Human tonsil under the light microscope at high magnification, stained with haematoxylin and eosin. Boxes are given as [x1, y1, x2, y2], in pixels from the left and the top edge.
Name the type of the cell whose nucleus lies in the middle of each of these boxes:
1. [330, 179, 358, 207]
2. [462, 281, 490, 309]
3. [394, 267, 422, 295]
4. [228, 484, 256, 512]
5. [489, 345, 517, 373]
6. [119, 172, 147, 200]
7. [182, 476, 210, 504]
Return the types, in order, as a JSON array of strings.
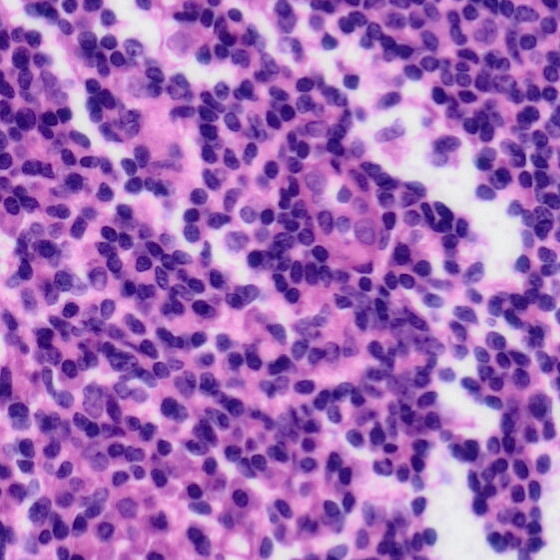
["endothelial cell", "small lymphocyte", "small lymphocyte", "plasma cell", "small lymphocyte", "small lymphocyte", "plasma cell"]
